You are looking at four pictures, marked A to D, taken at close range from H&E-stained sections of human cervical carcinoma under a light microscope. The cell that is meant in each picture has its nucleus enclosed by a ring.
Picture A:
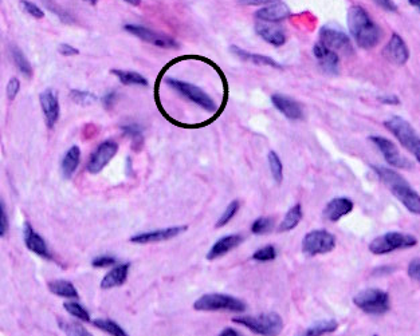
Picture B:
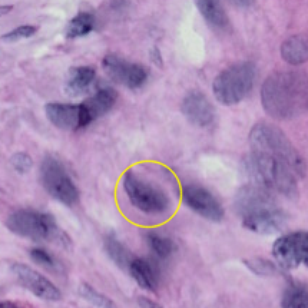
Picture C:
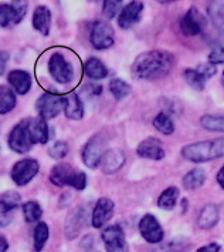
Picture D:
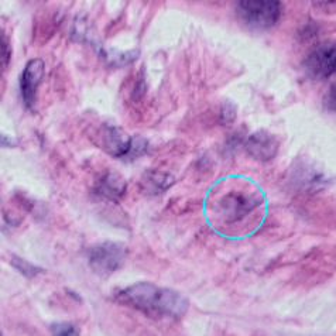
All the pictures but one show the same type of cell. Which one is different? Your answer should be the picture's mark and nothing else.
C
